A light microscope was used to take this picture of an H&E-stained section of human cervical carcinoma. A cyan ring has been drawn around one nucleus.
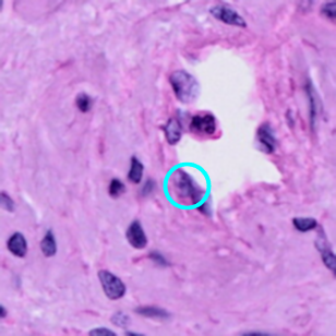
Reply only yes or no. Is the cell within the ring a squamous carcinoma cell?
no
